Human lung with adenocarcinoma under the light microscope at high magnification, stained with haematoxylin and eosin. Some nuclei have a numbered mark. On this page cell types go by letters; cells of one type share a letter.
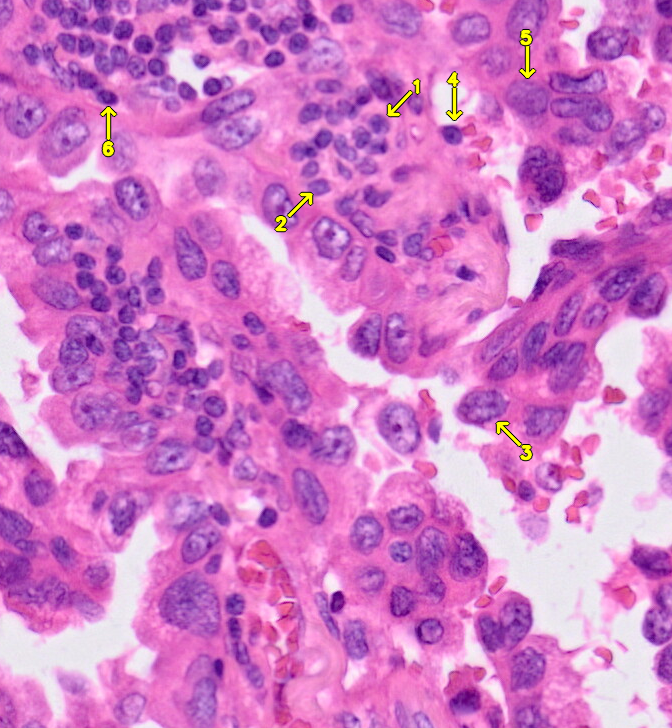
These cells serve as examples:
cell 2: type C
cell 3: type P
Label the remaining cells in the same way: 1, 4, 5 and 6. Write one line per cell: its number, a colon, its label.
1: type C
4: type C
5: type P
6: type C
